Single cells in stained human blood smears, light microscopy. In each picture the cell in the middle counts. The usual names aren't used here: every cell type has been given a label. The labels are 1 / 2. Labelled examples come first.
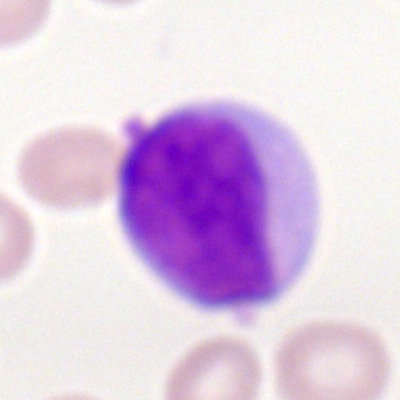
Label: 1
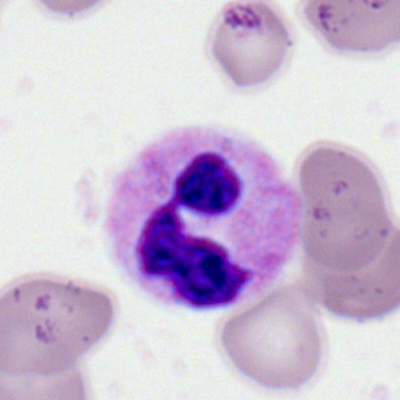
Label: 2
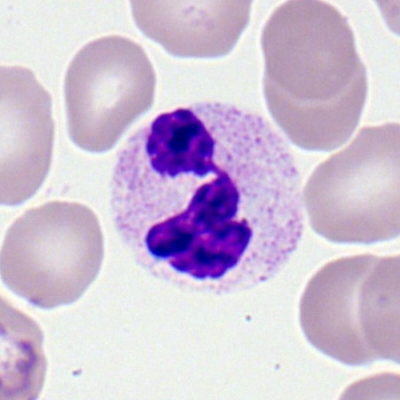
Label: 2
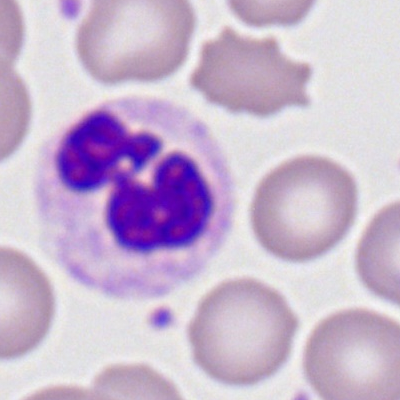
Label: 2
